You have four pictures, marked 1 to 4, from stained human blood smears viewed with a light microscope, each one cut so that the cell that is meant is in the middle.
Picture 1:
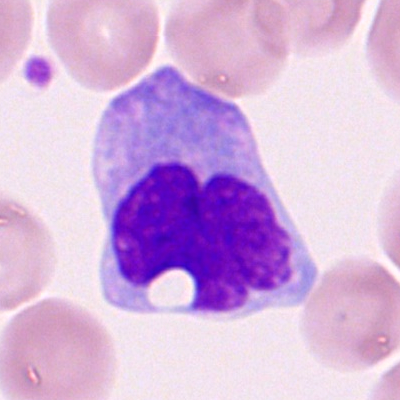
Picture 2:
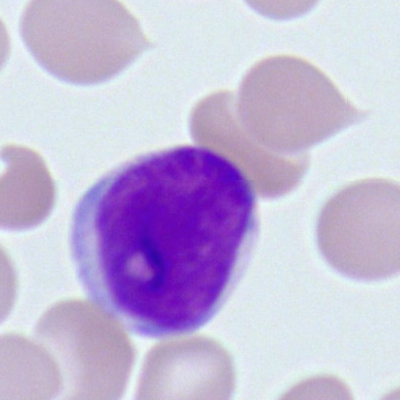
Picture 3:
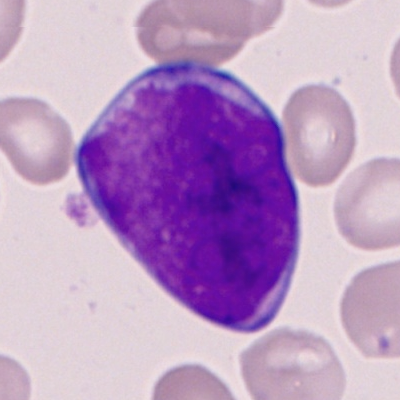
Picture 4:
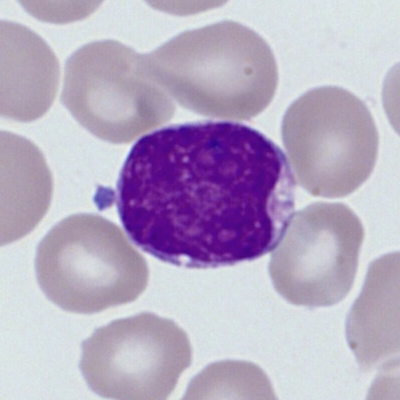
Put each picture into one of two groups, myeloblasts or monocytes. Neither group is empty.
1: monocyte
2: myeloblast
3: myeloblast
4: myeloblast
